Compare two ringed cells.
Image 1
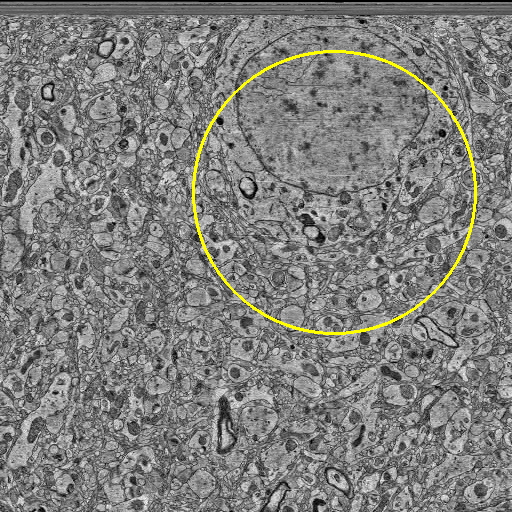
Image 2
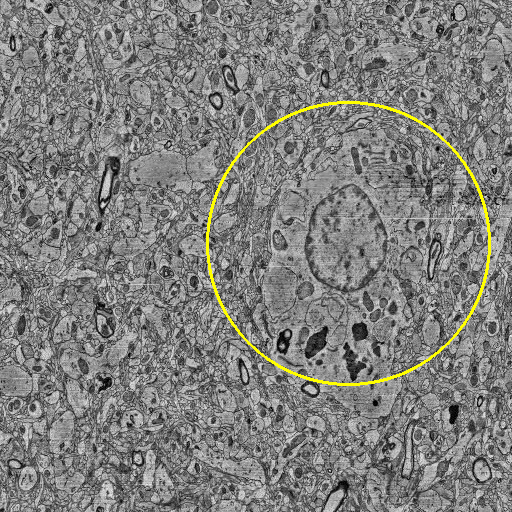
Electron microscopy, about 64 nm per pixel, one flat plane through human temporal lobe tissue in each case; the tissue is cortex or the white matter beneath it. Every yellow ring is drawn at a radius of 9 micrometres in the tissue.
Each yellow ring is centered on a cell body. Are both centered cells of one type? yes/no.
no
